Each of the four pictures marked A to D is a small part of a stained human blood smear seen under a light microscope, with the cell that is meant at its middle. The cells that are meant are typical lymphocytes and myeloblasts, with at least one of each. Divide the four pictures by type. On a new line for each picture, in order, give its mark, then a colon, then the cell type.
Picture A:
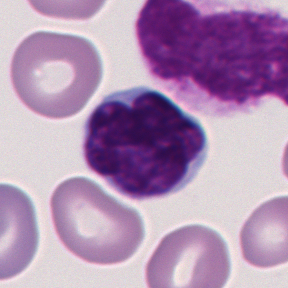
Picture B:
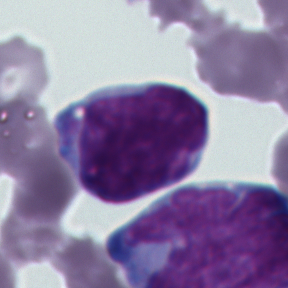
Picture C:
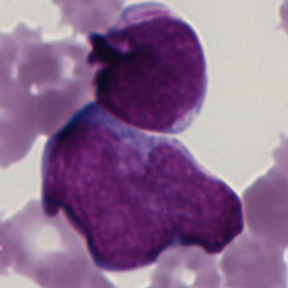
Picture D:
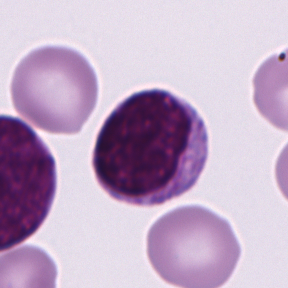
A: typical lymphocyte
B: myeloblast
C: myeloblast
D: typical lymphocyte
